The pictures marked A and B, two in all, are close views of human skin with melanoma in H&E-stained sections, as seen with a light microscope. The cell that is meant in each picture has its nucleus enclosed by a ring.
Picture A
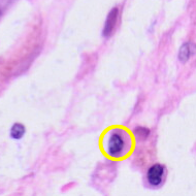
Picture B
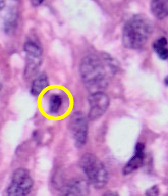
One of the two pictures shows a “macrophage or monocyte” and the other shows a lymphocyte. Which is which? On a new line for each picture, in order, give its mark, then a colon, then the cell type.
A: macrophage or monocyte
B: lymphocyte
